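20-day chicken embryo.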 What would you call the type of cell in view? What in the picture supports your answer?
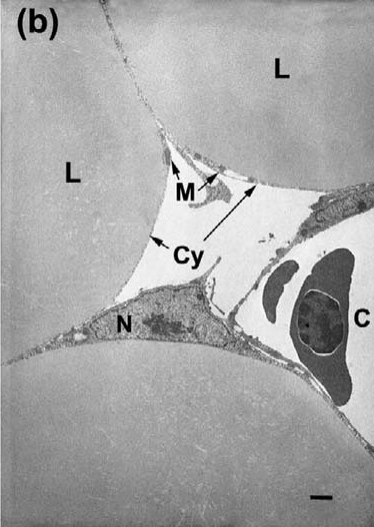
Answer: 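Each cell is almost filled by one very large, homogeneous droplet. Cytoplasm is reduced to a thin rim between neighbouring droplets. A flattened nucleus is squeezed into the narrow cytoplasm.
Adipocyte.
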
